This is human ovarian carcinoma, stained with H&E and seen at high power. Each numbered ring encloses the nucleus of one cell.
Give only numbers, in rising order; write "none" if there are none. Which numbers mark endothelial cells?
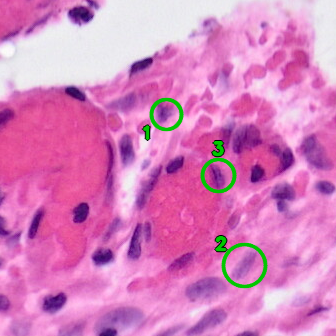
3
